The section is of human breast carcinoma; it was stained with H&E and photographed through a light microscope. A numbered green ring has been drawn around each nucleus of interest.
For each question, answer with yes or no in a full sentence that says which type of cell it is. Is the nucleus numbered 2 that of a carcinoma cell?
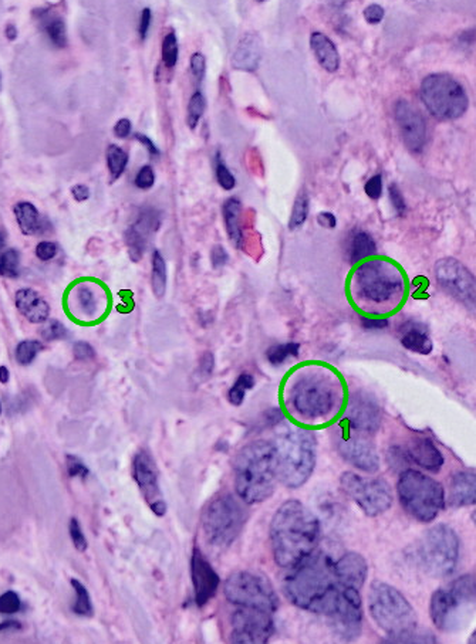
Yes, the cell whose number is 2 is a carcinoma cell.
